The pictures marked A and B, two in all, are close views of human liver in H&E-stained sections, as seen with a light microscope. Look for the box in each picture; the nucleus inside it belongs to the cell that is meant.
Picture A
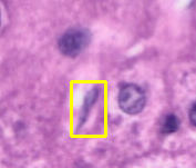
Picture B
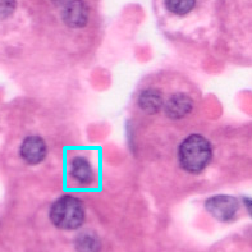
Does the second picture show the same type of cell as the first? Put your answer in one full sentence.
No, the types are not the same, since picture A shows a Kupffer cell and picture B a “fibroblast or stellate cell”.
